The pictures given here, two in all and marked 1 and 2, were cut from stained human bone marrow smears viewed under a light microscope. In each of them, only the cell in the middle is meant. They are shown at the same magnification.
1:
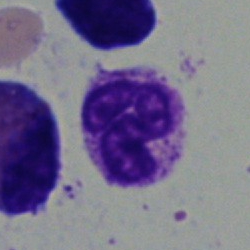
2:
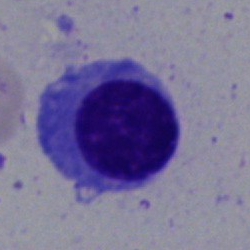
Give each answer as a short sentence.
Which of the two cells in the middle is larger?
Larger is the cell in crop 2, at roughly 1.5 times the area of the other.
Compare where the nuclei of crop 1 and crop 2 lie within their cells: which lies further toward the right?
The nucleus in crop 2 lies further toward the right of its cell.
